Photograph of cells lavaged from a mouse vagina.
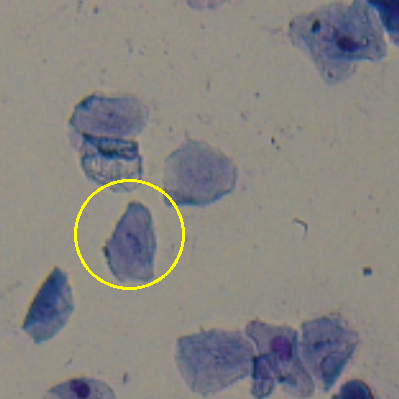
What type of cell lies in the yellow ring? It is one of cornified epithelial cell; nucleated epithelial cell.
The ringed cell is a cornified epithelial cell.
